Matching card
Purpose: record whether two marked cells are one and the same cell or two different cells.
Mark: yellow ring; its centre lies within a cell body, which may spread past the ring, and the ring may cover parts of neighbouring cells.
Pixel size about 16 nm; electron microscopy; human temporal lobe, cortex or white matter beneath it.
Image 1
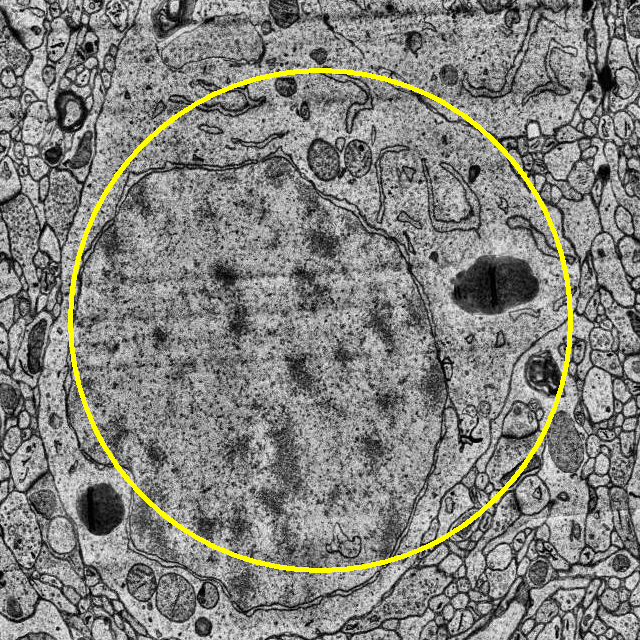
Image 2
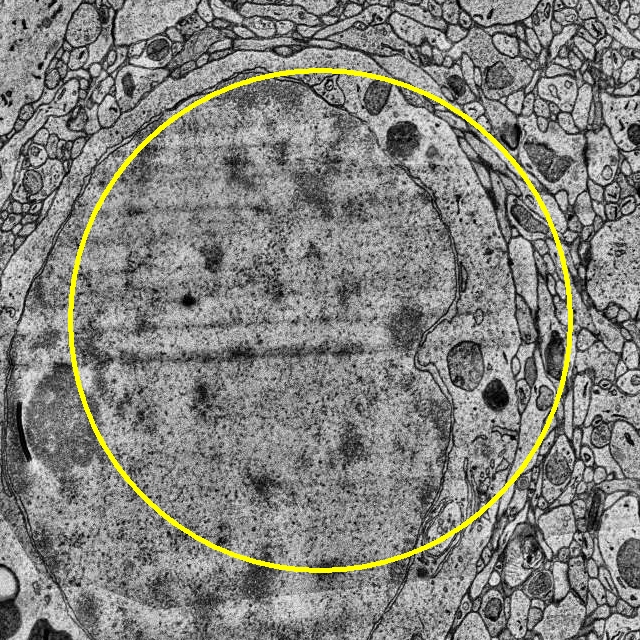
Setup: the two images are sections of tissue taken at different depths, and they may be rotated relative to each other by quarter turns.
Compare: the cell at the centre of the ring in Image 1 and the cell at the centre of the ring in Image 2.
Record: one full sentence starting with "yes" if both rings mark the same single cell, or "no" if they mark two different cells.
Yes, one cell appears twice, once in each ring.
